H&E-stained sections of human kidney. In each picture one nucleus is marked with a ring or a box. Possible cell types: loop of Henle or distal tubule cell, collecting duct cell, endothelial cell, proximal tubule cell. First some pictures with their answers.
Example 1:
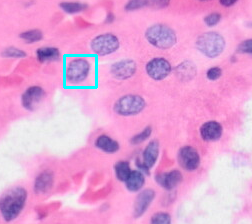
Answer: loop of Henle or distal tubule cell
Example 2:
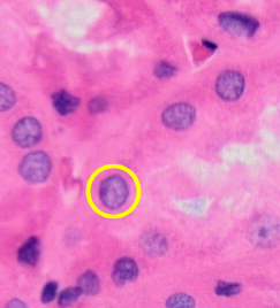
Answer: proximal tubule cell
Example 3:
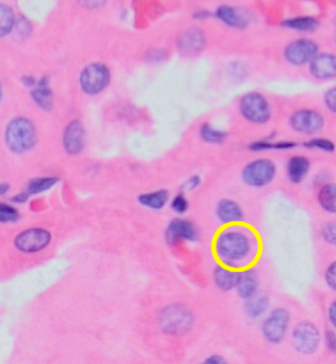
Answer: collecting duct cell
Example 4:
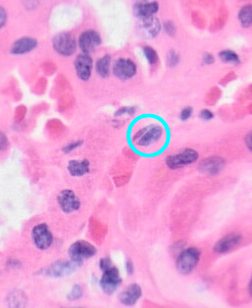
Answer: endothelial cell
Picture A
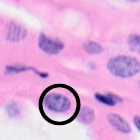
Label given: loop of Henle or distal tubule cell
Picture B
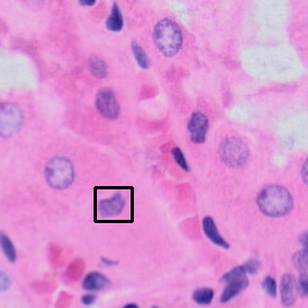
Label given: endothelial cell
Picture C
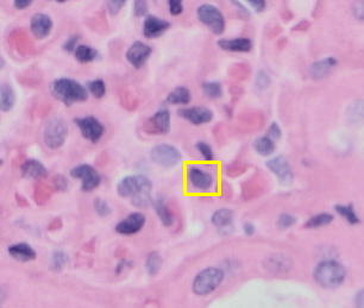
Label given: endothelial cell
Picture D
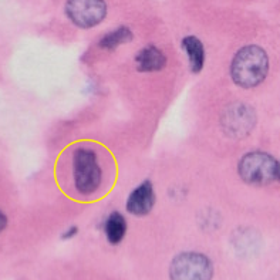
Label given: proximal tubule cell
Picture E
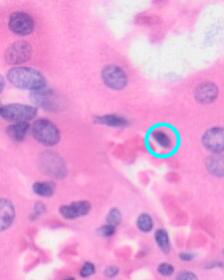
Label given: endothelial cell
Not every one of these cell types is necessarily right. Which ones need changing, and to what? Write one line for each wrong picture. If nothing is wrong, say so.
B: change endothelial cell to proximal tubule cell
